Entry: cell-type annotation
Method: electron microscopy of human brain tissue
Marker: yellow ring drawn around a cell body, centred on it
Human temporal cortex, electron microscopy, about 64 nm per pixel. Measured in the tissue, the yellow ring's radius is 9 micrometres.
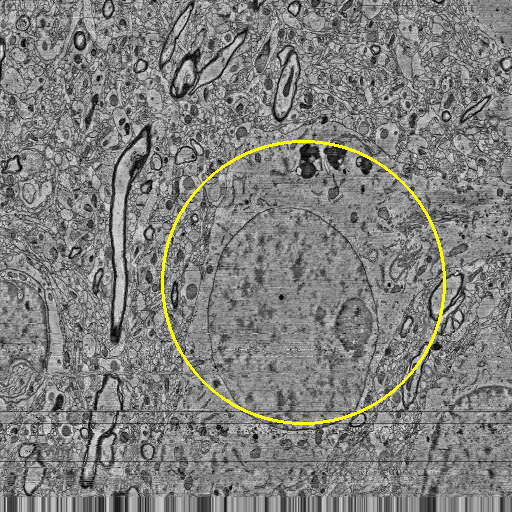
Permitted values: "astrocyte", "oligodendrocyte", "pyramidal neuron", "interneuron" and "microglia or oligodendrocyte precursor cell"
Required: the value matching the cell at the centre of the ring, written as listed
pyramidal neuron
